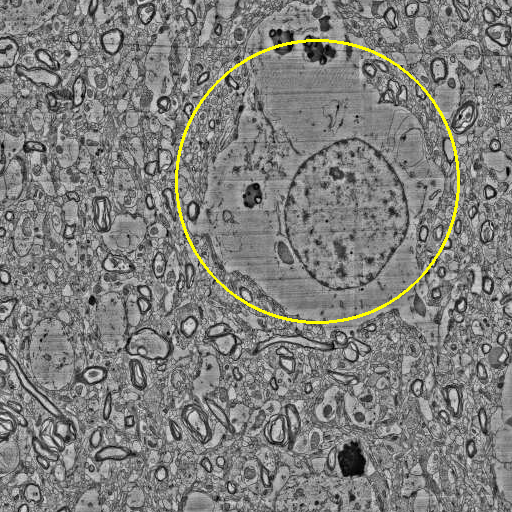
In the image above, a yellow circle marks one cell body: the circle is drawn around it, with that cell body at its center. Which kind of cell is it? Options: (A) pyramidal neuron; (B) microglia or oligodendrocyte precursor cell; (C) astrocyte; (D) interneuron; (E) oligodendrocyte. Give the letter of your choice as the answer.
C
